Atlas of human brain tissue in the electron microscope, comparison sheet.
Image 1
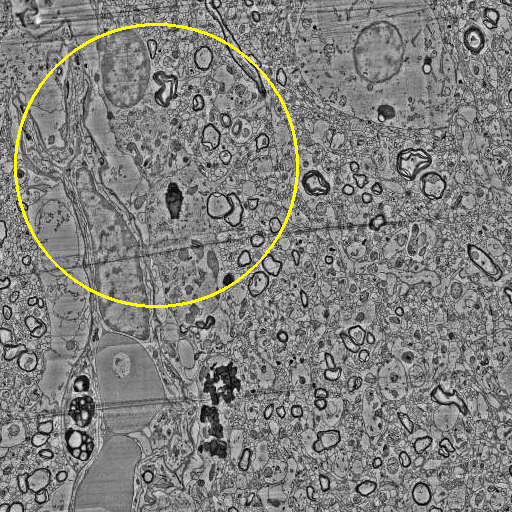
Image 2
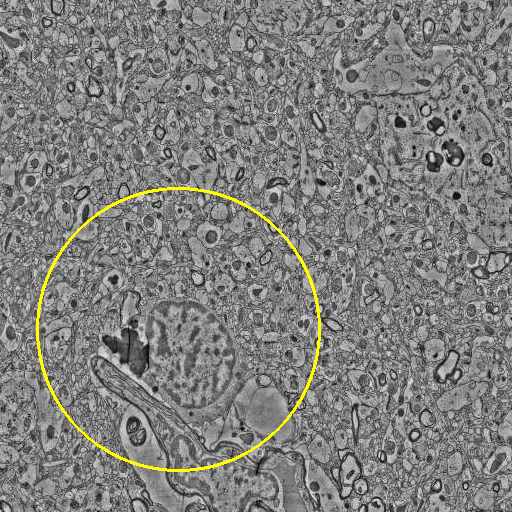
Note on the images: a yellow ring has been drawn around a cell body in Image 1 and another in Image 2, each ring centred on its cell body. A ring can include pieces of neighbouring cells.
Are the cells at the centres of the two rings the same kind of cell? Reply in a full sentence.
Yes, both cells are of the same kind.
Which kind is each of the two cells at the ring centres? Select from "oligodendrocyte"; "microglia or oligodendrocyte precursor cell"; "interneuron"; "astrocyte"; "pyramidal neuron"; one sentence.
Each of the ringed cells, first and second, is an oligodendrocyte.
